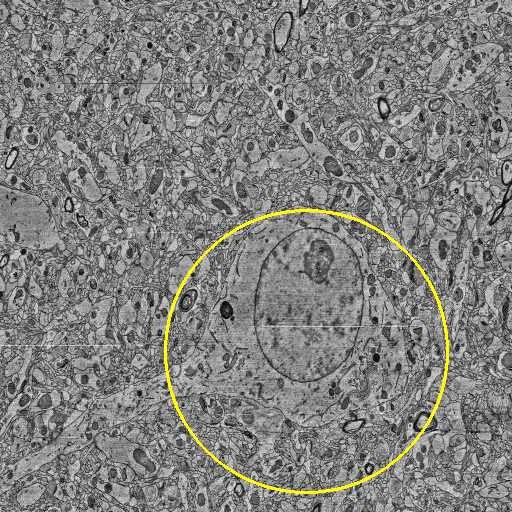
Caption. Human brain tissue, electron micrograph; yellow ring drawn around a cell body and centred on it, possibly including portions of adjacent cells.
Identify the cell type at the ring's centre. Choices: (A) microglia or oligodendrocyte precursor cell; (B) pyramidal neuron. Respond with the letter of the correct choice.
B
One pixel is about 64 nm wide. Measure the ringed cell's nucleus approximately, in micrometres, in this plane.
In this plane the nucleus measures roughly 10 by 7 micrometers.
